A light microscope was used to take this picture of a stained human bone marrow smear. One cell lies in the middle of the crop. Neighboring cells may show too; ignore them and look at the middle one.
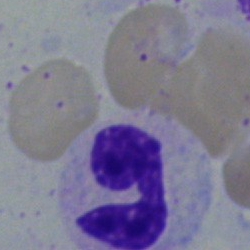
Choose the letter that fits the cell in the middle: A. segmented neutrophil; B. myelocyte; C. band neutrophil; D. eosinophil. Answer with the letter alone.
C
